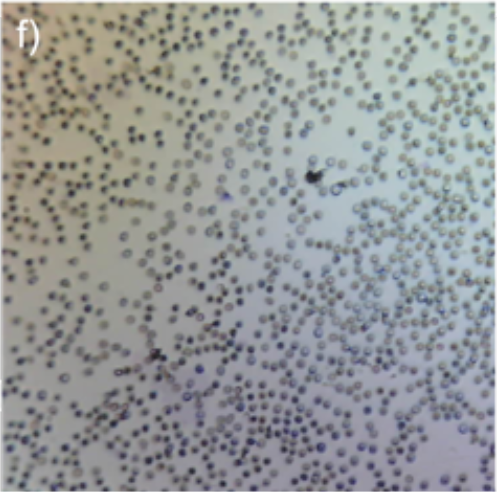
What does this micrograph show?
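This is a thin spread of red blood cells, seen in brightfield at low magnification. The cells are small, round and very uniform in size. They appear as greyish to bluish discs on a pale background. They lie mostly singly, in one layer, without stacking. They are crowded in some parts of the field and sparser in others, leaving cell-free clear areas. A few small dark specks of debris are scattered among them.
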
